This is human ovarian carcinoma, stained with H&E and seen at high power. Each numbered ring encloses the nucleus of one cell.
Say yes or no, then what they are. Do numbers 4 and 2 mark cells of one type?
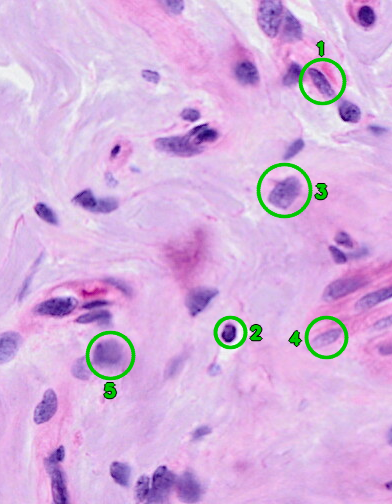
No: cell 4 is a smooth muscle cell, while cell 2 is a lymphocyte.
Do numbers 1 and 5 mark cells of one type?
No, whereas cell 5 is a fibroblast, cell 1 is an endothelial cell.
